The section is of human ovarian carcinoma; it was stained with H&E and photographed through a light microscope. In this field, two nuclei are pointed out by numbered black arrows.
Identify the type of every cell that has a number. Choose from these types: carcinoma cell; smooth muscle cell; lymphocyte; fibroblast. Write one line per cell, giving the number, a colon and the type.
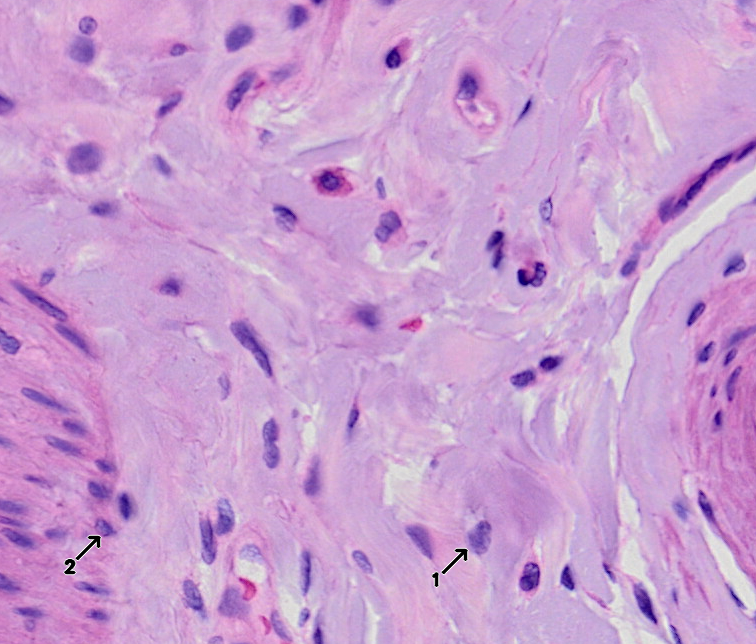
1: fibroblast
2: smooth muscle cell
